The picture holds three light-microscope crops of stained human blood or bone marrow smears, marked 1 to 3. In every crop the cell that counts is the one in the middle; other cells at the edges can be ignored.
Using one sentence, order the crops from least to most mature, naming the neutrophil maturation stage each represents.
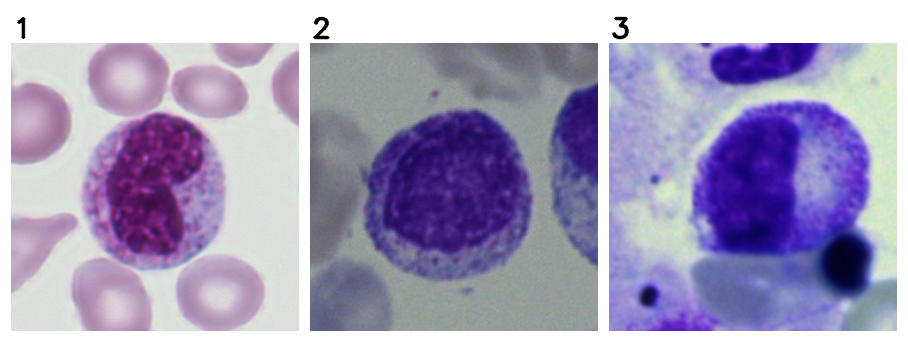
The order of maturity, lowest to highest, is crop 2 (a myelocyte), crop 3 (a metamyelocyte) and crop 1 (a band neutrophil).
